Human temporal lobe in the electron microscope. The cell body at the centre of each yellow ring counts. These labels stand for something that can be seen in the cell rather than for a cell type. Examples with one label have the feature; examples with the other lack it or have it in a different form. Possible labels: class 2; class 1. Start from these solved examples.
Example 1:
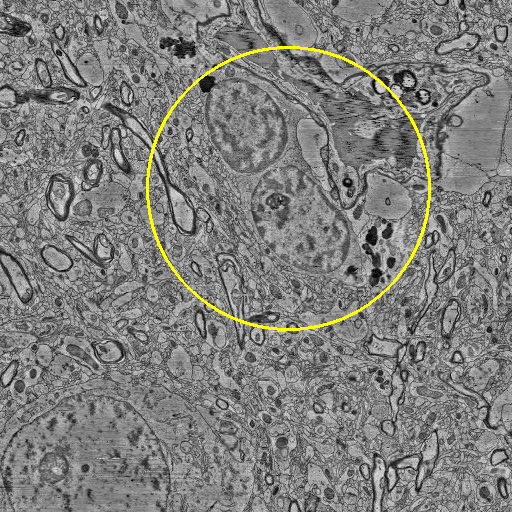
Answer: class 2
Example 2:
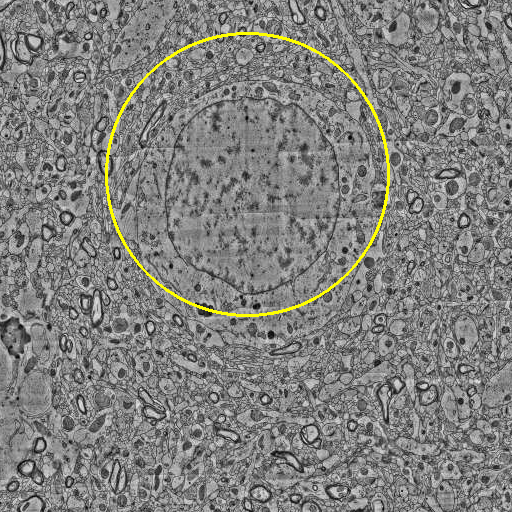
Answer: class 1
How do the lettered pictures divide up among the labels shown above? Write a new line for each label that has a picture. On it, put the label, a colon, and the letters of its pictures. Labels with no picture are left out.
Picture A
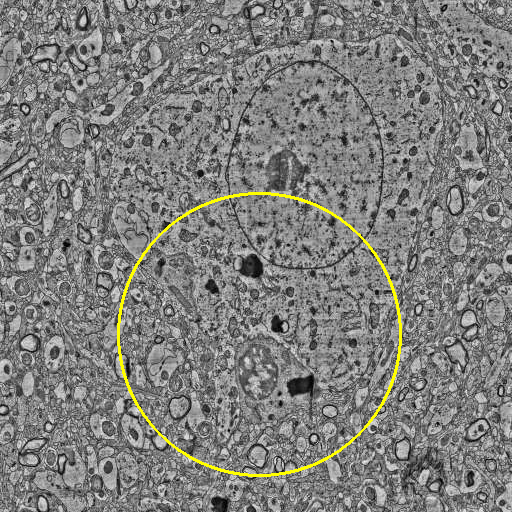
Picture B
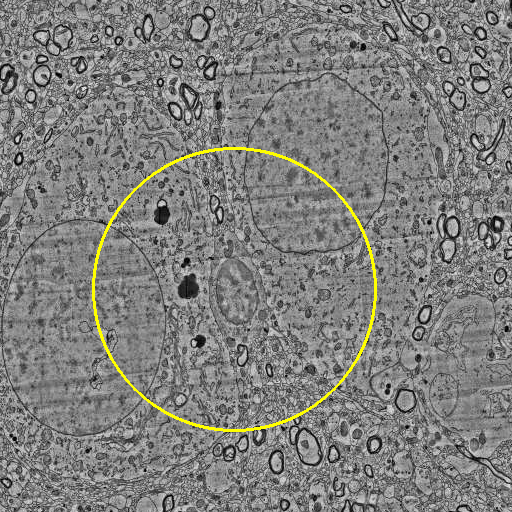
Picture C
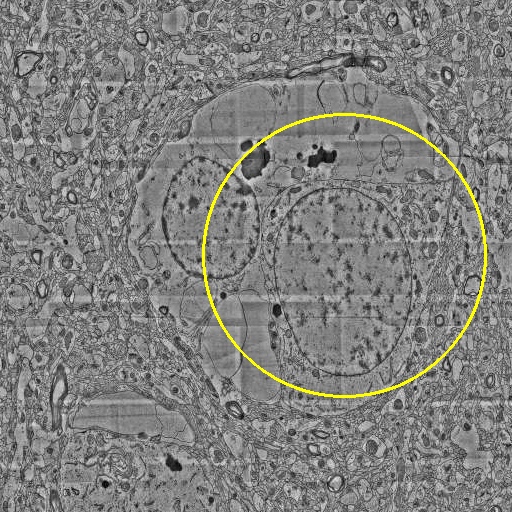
class 1: A, B, C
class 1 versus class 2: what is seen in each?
In class 1: no nucleolus seen. In class 2: nucleolus seen.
